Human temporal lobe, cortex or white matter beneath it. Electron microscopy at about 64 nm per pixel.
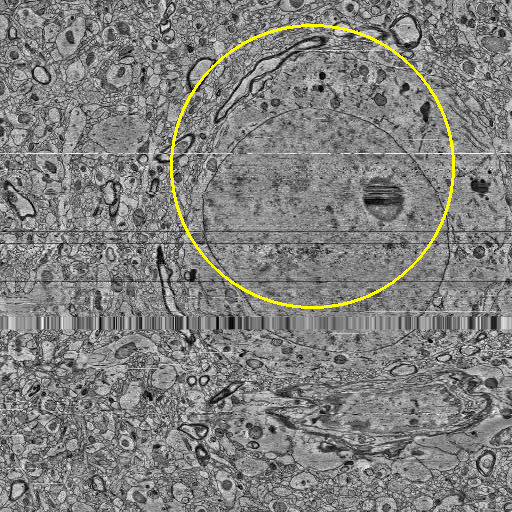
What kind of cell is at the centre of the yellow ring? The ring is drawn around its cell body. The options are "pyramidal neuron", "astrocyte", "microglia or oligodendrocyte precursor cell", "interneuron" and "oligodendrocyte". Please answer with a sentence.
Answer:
The yellow ring marks the cell body of a pyramidal neuron.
